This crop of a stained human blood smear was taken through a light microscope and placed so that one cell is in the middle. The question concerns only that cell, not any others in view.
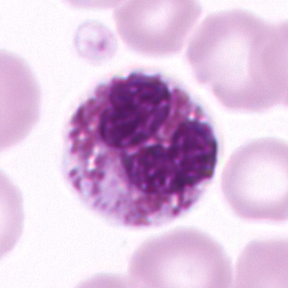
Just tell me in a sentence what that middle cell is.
Present in the middle of the crop is an eosinophil.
